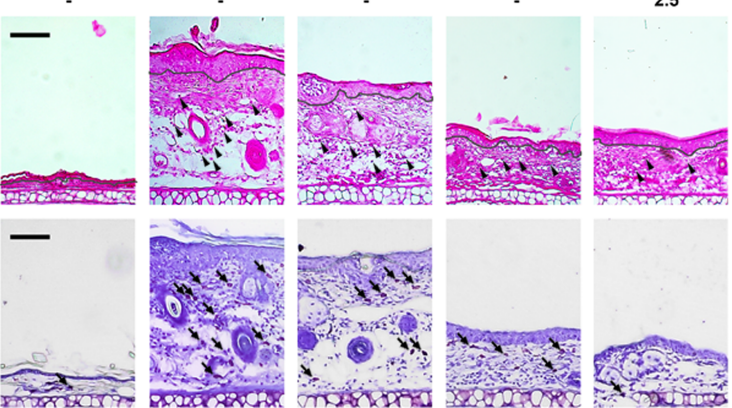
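This is a grid of ear skin sections, a pink-stained row above and a purple-stained row below, each with a dense outer surface layer over looser connective tissue and a band of pale, rounded fat-like cells and cartilage at the bottom. In several sections the surface layer and the tissue beneath it are markedly thickened compared with one thin section at the left of each row. The loose tissue under the surface layer in the thickened sections holds scattered small cells and round hair-follicle-like structures, and in the purple row arrows point to small darkly stained cells, the mast cells. A thin gray line traces the border between the outer epidermis and the dermis beneath.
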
